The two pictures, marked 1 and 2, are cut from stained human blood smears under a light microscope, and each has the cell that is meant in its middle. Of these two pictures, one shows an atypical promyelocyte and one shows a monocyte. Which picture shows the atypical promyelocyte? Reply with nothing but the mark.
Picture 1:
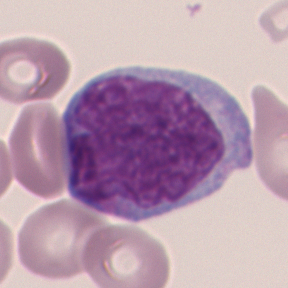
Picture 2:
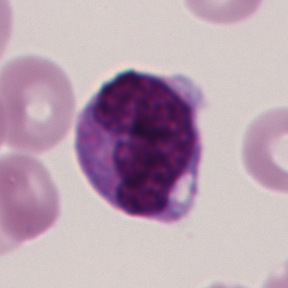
1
